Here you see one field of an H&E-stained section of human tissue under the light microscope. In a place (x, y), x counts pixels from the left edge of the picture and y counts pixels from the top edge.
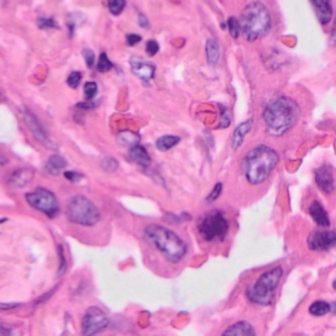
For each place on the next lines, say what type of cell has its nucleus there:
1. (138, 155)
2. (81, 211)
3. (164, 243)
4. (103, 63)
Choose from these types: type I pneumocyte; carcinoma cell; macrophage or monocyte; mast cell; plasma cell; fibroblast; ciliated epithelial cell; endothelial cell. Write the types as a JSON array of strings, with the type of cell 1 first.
["plasma cell", "carcinoma cell", "carcinoma cell", "plasma cell"]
